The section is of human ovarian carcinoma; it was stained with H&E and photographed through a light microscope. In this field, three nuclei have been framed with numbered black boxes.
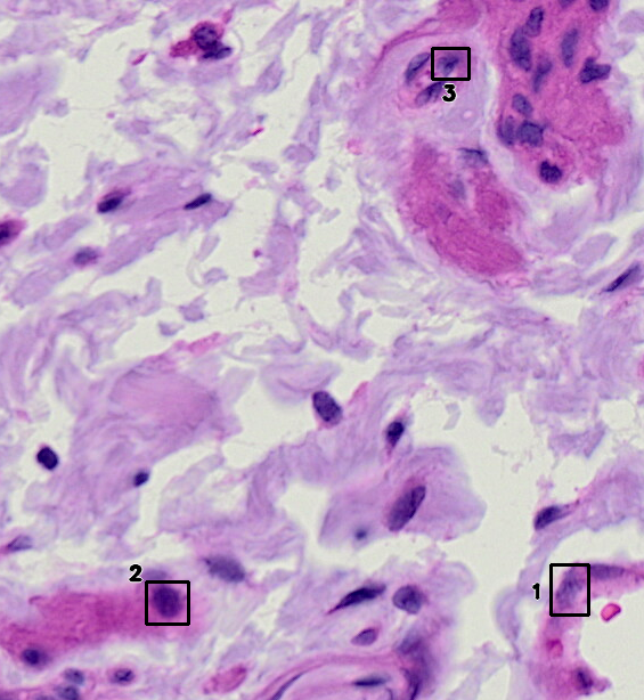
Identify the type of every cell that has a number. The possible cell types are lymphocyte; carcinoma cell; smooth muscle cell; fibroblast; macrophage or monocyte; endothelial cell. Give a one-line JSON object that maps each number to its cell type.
{"1": "endothelial cell", "2": "smooth muscle cell", "3": "endothelial cell"}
